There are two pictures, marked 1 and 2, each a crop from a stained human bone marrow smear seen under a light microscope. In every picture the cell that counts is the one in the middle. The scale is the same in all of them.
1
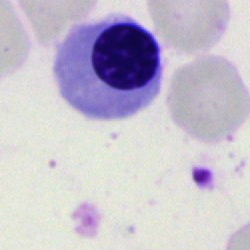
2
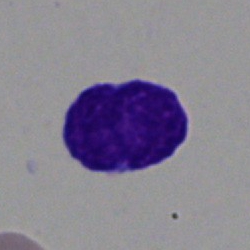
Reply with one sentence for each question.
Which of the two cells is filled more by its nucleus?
The nucleus fills more of the cell in crop 2 than in crop 1.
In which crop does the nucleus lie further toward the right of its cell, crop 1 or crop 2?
Seen within its cell, the nucleus in crop 1 lies further toward the right.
